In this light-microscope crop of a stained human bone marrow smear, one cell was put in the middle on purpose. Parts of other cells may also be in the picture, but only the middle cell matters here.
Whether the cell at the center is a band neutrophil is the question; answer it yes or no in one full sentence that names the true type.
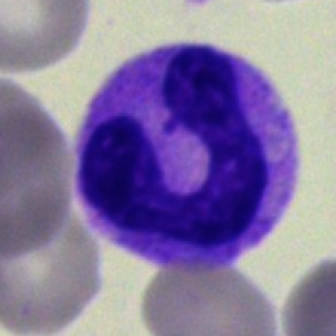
Yes, the cell that the crop is centered on is a band neutrophil.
